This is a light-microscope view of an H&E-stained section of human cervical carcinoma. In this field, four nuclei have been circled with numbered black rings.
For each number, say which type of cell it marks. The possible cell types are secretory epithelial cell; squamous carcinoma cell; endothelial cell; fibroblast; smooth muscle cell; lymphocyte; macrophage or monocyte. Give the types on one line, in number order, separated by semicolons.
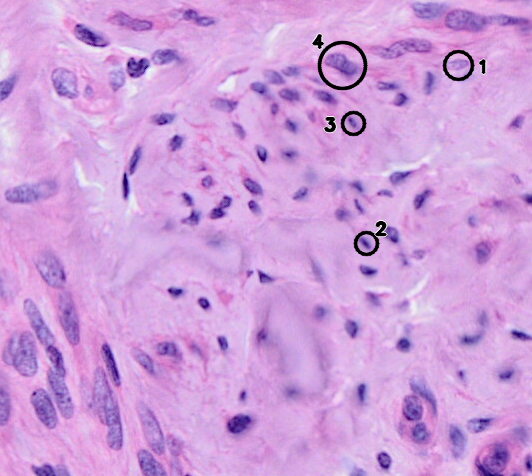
smooth muscle cell; fibroblast; smooth muscle cell; smooth muscle cell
